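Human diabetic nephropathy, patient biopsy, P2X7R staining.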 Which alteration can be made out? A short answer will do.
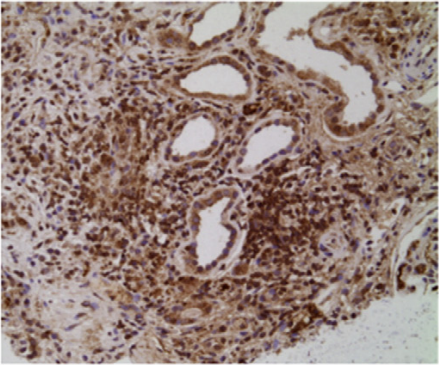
inflammation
